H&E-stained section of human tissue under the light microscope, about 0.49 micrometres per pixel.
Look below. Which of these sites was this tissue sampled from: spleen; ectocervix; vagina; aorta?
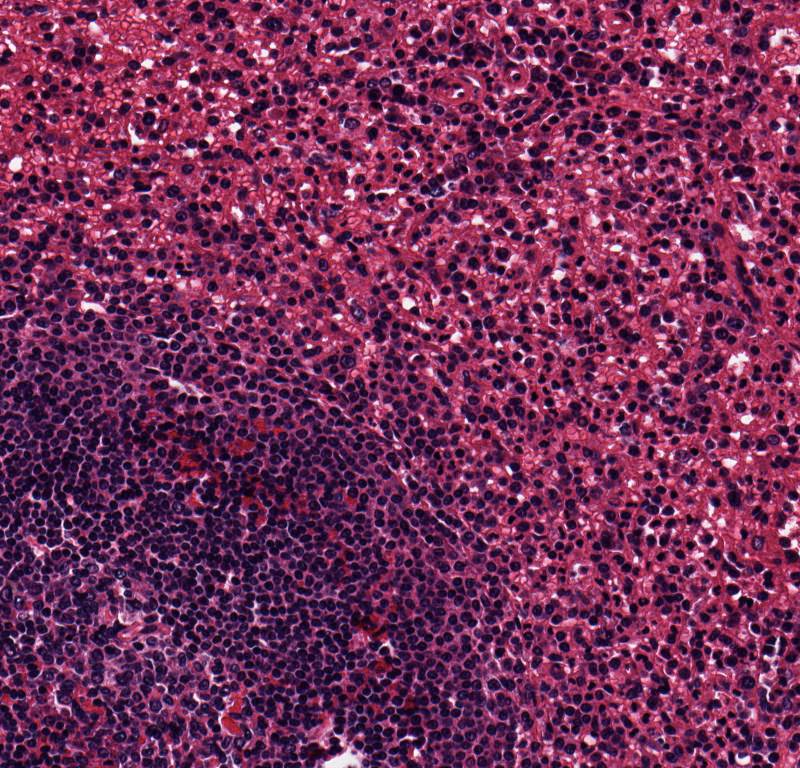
spleen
